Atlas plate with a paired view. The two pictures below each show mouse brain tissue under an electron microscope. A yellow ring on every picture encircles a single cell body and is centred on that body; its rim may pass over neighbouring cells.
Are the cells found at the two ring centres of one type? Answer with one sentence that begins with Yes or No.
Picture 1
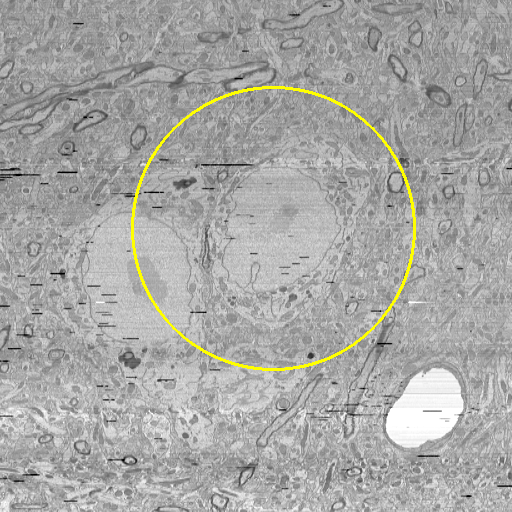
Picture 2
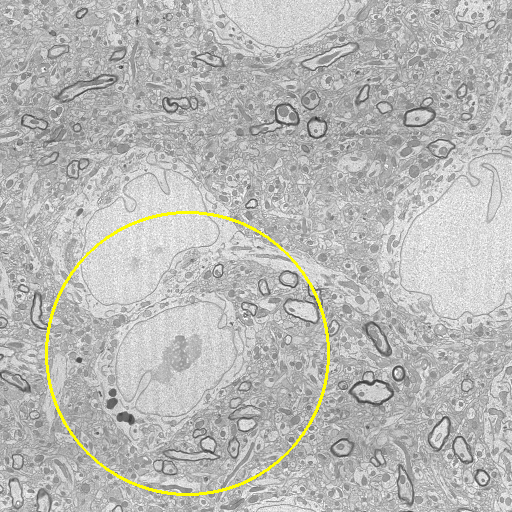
Yes, the two cells lying at the centres of the rings share a single type.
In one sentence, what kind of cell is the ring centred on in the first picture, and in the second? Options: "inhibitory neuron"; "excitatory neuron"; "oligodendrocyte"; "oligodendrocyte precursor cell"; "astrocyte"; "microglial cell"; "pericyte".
Each of the ringed cells, first and second, is an inhibitory neuron.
